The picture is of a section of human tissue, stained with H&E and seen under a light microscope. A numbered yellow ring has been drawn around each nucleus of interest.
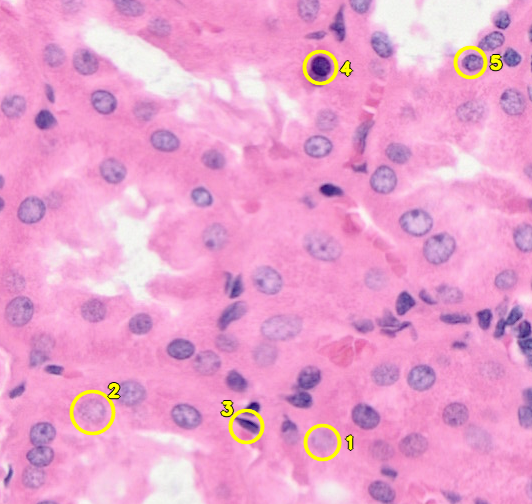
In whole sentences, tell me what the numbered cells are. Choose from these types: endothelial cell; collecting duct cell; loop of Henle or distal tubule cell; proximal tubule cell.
Cell 1 is a proximal tubule cell, cell 2 is a proximal tubule cell, cell 3 is an endothelial cell, cell 4 is a proximal tubule cell and cell 5 is a loop of Henle or distal tubule cell.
